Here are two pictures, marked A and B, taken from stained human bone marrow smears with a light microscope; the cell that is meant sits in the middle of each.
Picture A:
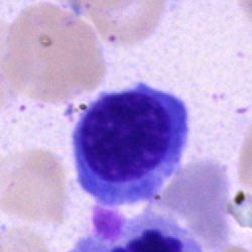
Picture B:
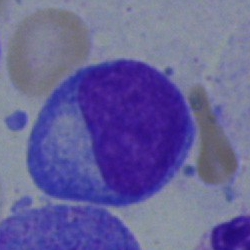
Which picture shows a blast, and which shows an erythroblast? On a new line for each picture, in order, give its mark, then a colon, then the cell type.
A: erythroblast
B: blast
